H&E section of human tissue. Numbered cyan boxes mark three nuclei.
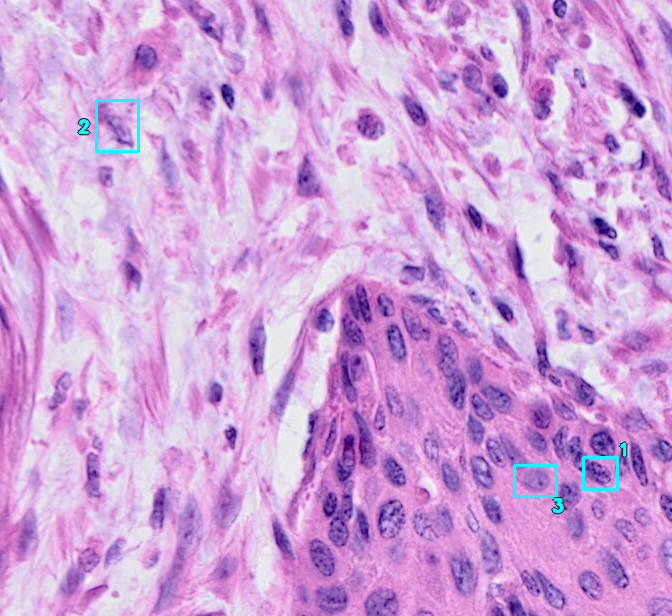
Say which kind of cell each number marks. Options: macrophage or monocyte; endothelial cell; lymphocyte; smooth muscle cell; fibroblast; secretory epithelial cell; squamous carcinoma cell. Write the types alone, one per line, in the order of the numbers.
squamous carcinoma cell
fibroblast
squamous carcinoma cell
